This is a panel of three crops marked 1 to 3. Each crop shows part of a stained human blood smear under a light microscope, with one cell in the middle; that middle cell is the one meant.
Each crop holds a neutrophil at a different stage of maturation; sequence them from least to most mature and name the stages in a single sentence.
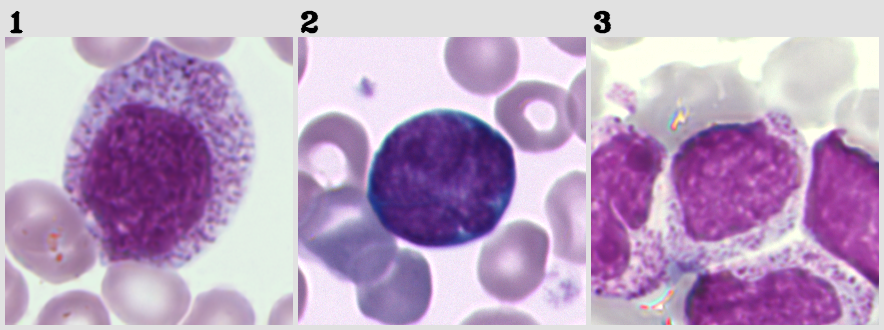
In maturational order, earliest to latest, the sequence is crop 2 (a myeloblast), crop 1 (a promyelocyte) and crop 3 (a myelocyte).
